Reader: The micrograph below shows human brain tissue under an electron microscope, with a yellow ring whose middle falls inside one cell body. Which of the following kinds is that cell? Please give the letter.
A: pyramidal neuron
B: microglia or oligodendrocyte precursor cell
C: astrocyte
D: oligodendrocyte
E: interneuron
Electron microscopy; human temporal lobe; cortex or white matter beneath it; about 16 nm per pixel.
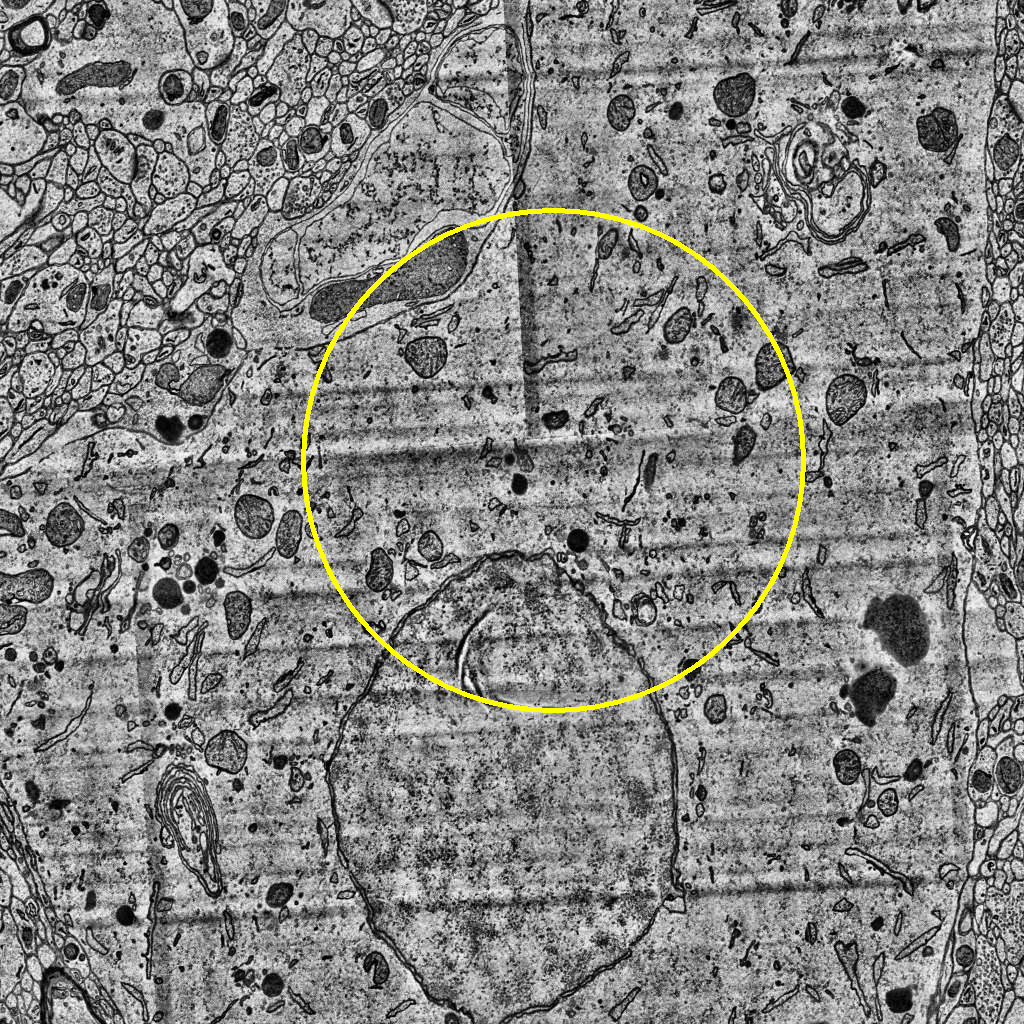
D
